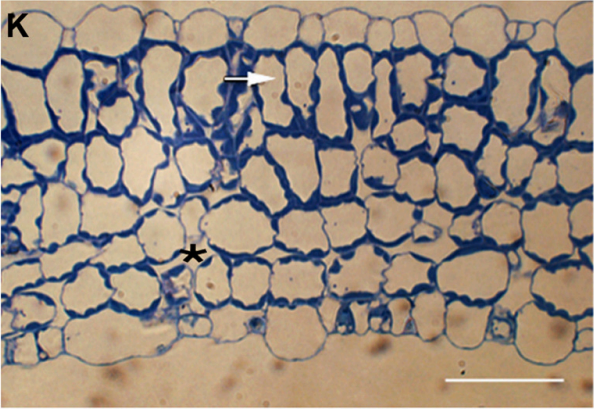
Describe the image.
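This transverse section of plant tissue shows cells whose walls are stained blue while their interiors are largely clear. The cells are polygonal to rounded, closely packed, and arranged in several layers across the section. The cells toward one face are more elongated and set side by side, while the inner cells are larger and more isodiametric.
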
